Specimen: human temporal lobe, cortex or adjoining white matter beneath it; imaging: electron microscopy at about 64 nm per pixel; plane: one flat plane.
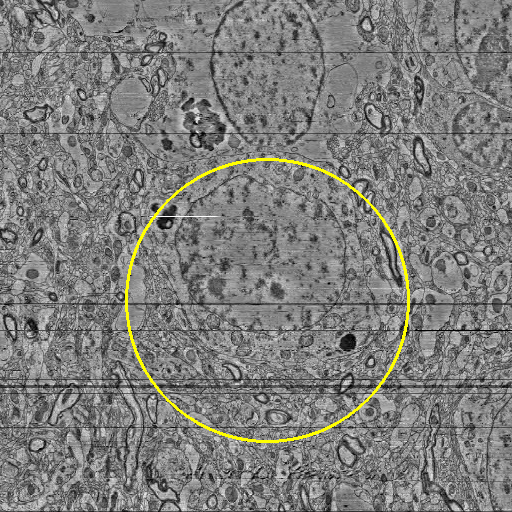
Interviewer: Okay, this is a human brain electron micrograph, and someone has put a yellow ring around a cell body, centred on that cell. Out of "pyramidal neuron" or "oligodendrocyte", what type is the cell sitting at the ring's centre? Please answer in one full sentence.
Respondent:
The cell at the centre of the yellow ring in this picture is a pyramidal neuron.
